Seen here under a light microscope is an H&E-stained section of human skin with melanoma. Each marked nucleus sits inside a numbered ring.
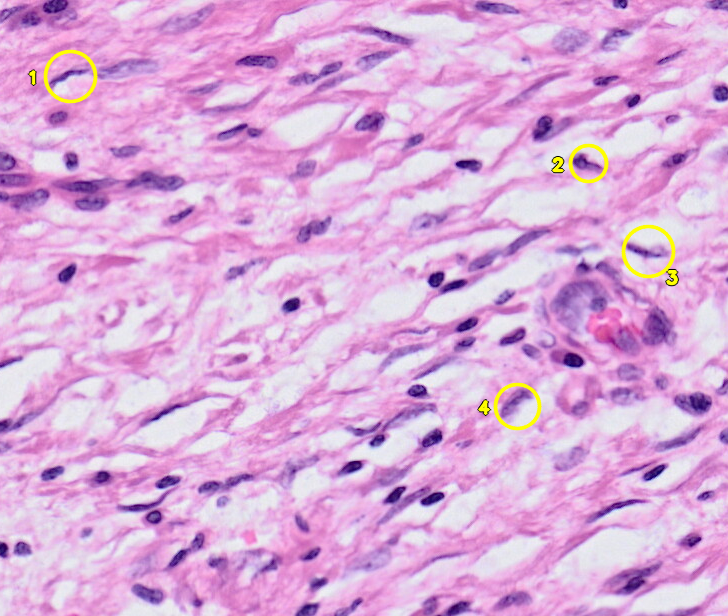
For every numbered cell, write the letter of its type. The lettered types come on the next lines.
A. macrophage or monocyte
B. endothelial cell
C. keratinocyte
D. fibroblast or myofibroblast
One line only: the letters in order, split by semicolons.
D; A; D; D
